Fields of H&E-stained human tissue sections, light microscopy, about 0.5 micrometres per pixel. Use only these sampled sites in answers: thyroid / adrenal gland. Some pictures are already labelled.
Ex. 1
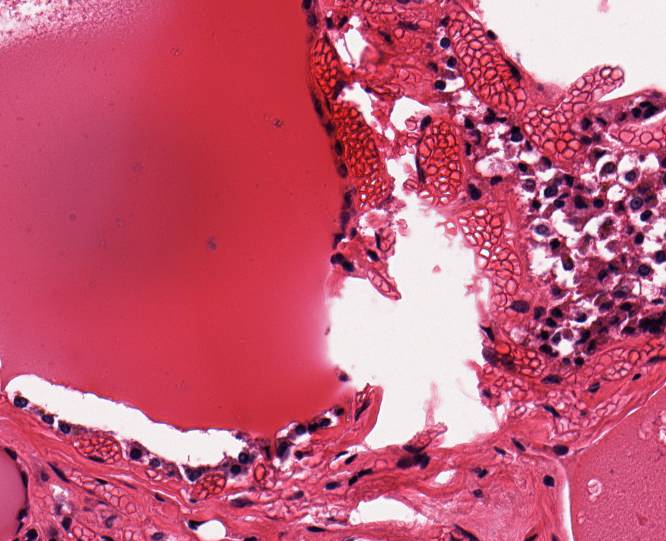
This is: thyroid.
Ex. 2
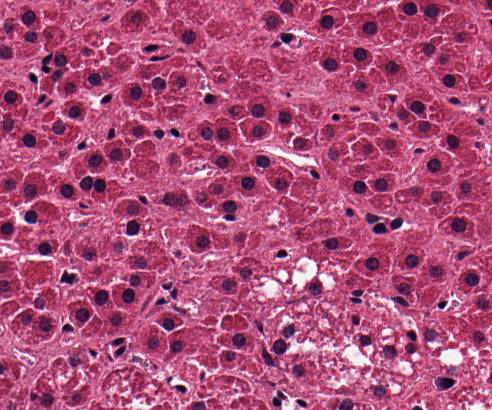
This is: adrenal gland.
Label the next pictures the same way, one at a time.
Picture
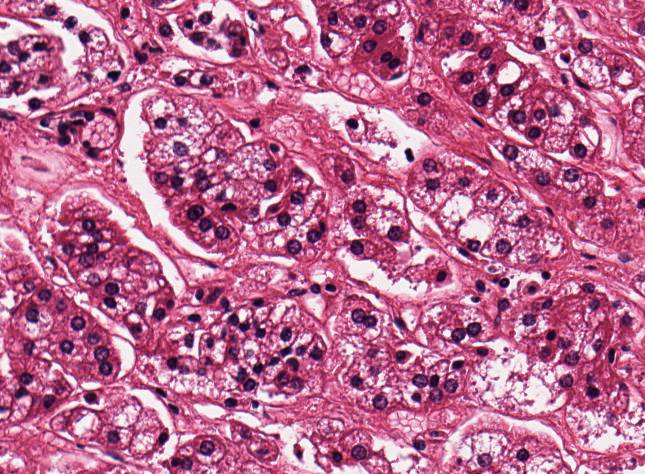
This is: adrenal gland.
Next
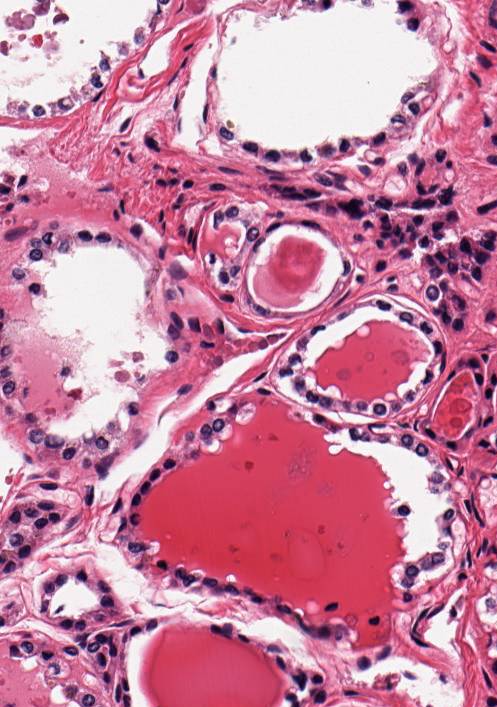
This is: thyroid.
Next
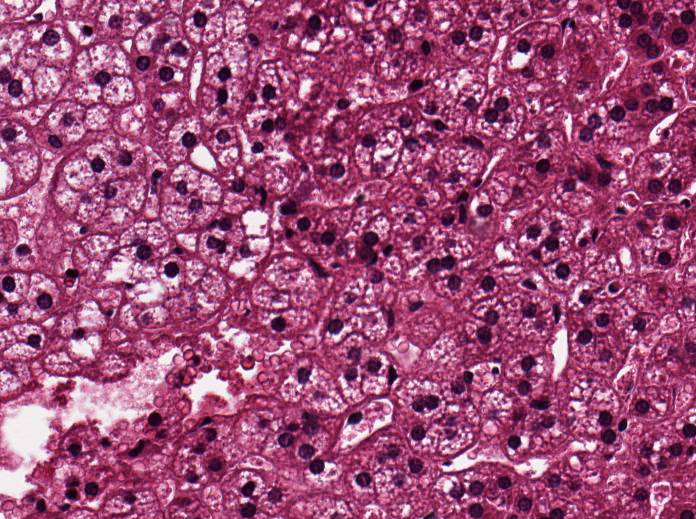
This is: adrenal gland.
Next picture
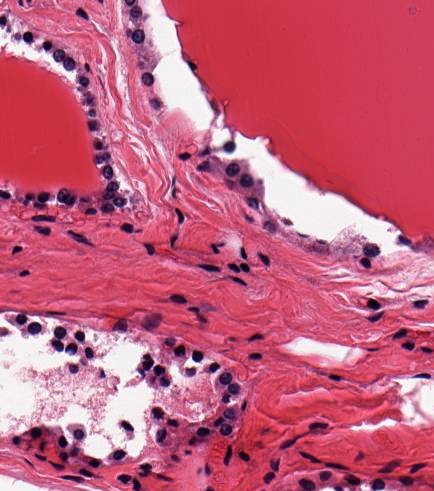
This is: thyroid.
